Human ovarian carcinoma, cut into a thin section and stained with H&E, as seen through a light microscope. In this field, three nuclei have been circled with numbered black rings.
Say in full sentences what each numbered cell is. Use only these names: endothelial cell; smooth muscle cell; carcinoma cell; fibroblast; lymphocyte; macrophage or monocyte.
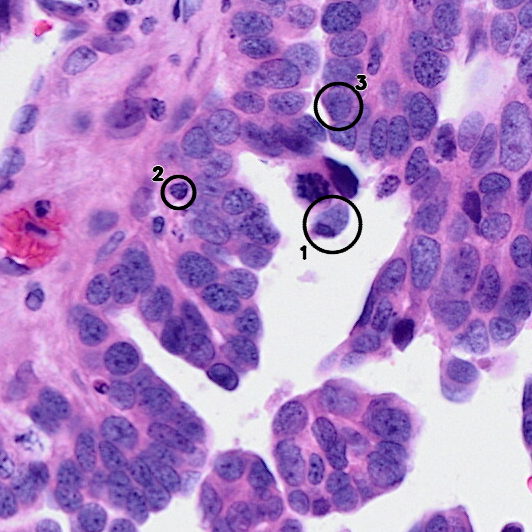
Cells 1 and 3 are carcinoma cells. Cell 2 is a lymphocyte.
